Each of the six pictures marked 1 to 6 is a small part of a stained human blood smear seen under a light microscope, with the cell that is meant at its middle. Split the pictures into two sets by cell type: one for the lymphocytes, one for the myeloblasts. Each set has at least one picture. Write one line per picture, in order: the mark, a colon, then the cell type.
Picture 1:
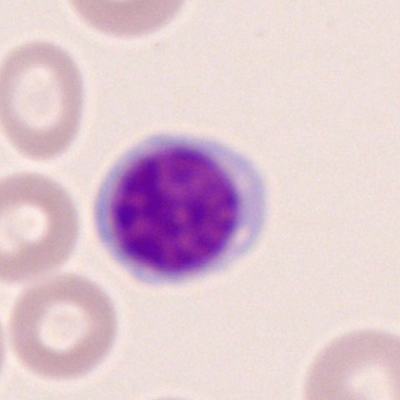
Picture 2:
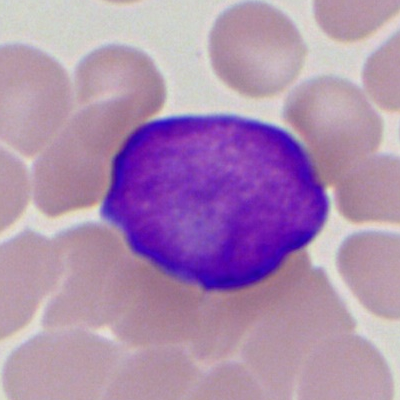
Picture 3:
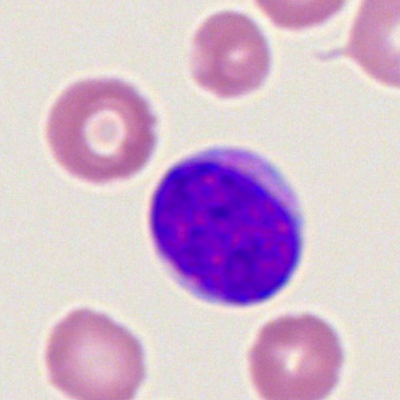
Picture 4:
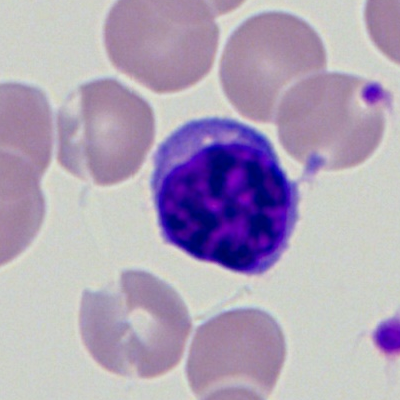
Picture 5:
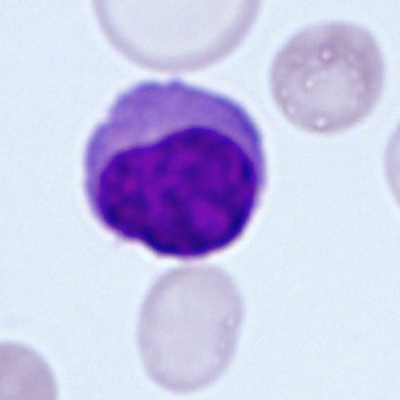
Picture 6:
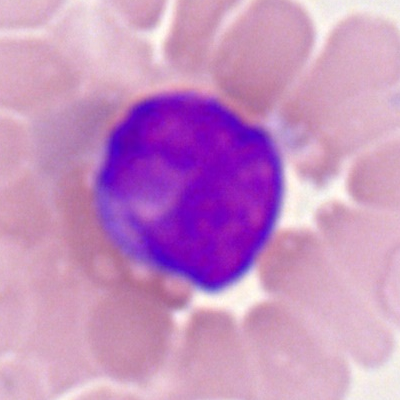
1: lymphocyte
2: myeloblast
3: lymphocyte
4: lymphocyte
5: lymphocyte
6: myeloblast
